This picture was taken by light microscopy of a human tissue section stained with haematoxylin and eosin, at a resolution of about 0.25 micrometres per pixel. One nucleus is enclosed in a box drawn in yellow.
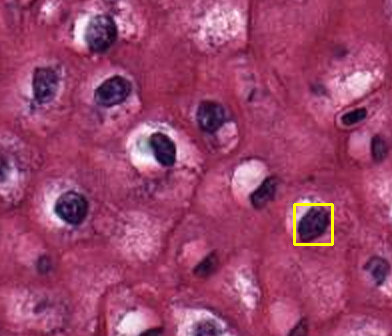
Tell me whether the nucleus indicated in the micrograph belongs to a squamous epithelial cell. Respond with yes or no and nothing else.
yes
